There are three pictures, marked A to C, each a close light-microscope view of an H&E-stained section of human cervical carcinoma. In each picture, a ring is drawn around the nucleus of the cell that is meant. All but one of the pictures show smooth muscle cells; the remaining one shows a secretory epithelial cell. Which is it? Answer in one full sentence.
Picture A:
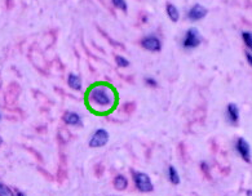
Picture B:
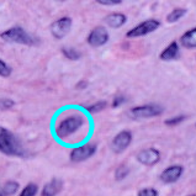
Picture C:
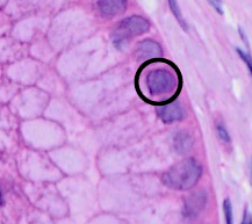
The cell in picture C is the secretory epithelial cell.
